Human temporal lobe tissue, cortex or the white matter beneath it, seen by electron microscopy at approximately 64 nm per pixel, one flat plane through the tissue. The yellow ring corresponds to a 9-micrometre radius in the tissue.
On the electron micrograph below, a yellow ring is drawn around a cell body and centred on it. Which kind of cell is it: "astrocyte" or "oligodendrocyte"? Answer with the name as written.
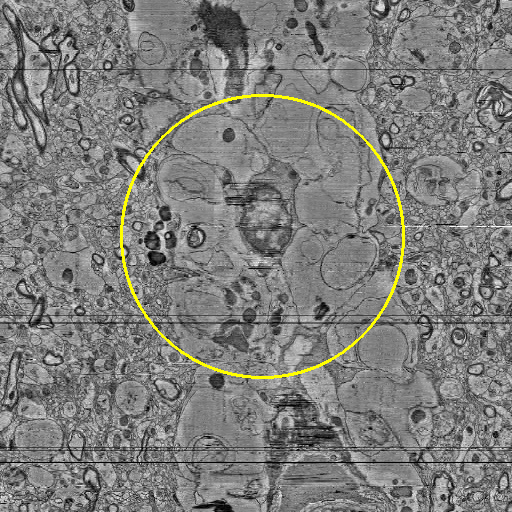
oligodendrocyte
